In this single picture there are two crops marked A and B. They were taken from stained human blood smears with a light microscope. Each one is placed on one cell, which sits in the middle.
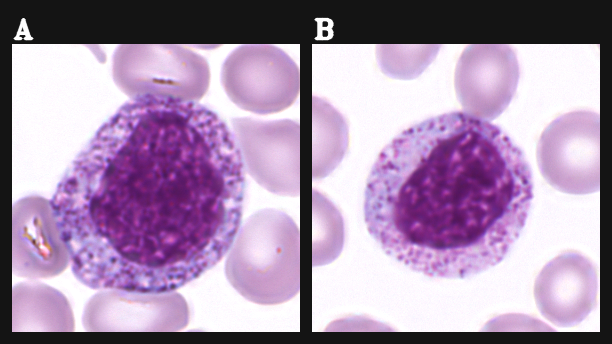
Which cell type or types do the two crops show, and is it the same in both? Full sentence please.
No, crop A presents a myelocyte; crop B presents a metamyelocyte.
